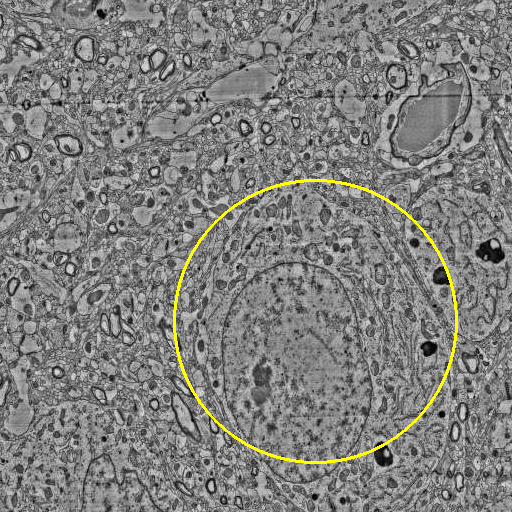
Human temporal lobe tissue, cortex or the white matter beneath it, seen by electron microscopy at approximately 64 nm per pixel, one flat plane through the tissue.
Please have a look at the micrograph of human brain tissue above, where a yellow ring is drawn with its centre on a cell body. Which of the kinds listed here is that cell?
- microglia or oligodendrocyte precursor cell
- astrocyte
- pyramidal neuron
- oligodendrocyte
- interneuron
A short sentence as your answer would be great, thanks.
At the centre of the ring sits an interneuron.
